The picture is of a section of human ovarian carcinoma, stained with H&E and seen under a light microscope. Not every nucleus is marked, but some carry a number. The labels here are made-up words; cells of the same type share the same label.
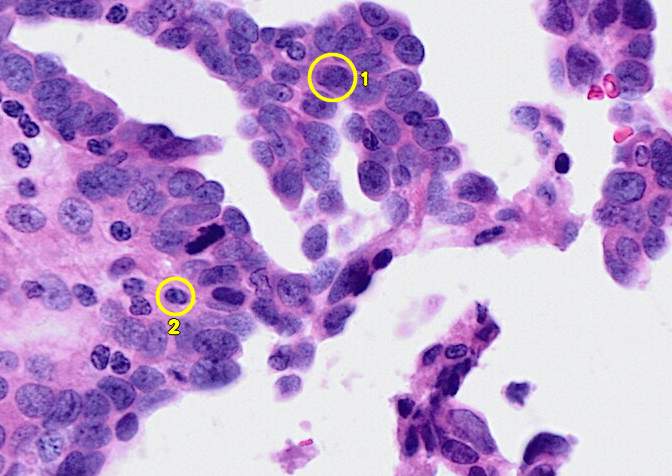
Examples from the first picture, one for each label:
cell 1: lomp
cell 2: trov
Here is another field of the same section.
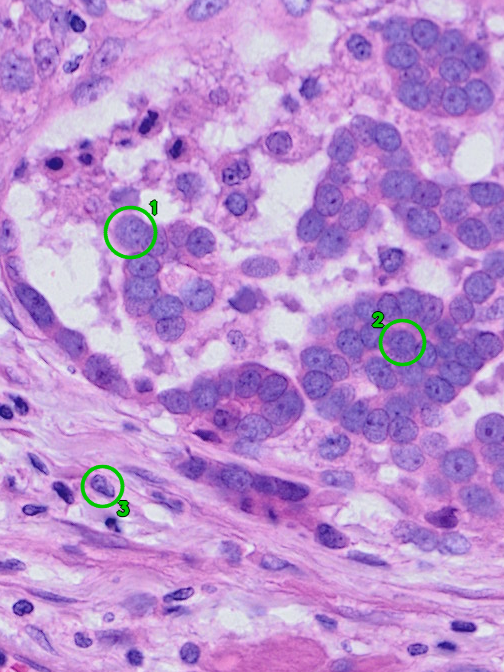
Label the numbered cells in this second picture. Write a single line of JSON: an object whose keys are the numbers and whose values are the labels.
{"1": "lomp", "2": "lomp", "3": "trov"}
